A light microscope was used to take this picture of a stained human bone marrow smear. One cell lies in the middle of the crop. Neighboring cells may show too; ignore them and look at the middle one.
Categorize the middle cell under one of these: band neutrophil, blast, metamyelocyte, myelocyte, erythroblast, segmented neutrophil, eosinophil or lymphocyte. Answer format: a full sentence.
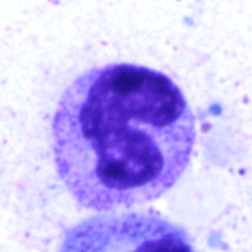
In the crop, the cell of interest at the centre is a band neutrophil.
